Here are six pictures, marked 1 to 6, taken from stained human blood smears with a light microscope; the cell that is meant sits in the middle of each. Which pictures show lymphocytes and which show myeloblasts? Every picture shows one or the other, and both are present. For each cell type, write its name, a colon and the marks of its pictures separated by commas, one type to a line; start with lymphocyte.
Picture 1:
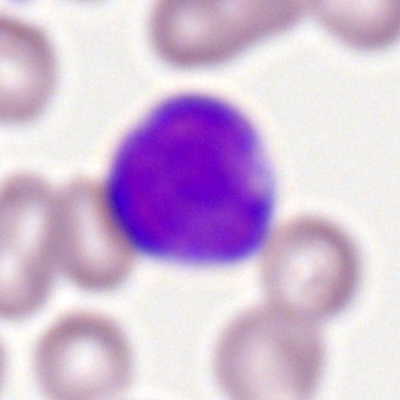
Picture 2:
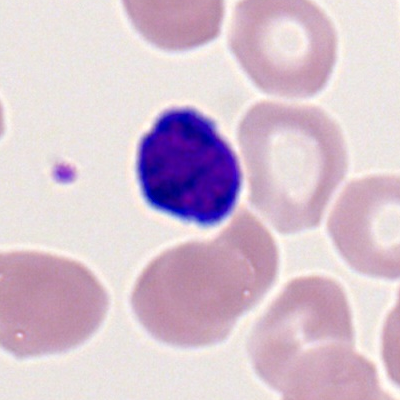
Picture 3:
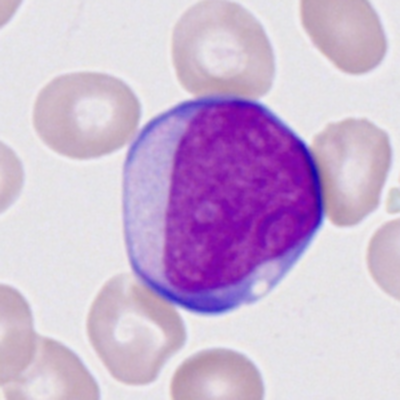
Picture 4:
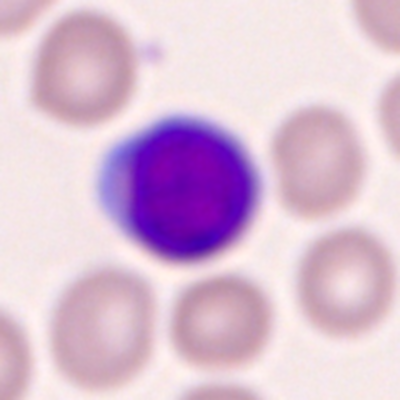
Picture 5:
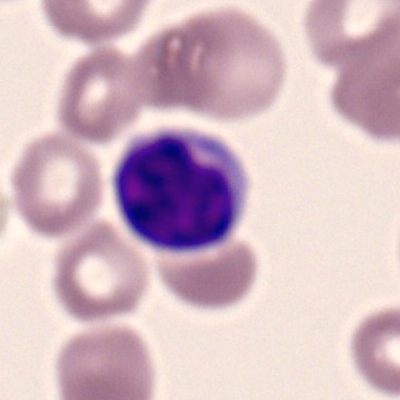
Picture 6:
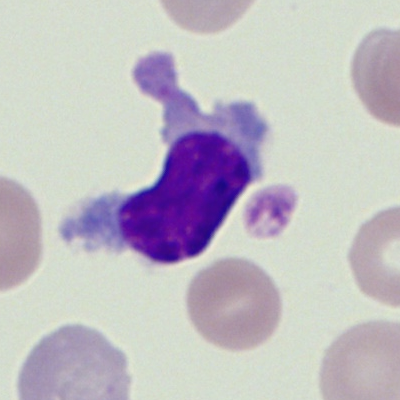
lymphocyte: 2, 4, 5, 6
myeloblast: 1, 3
